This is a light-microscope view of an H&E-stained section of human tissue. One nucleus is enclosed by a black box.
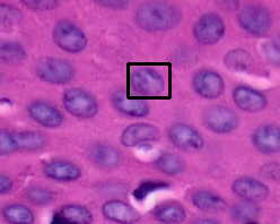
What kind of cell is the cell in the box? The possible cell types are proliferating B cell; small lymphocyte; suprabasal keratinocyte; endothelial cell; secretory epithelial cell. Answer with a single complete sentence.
Cell type answer for this item: the cell in the box is a suprabasal keratinocyte.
